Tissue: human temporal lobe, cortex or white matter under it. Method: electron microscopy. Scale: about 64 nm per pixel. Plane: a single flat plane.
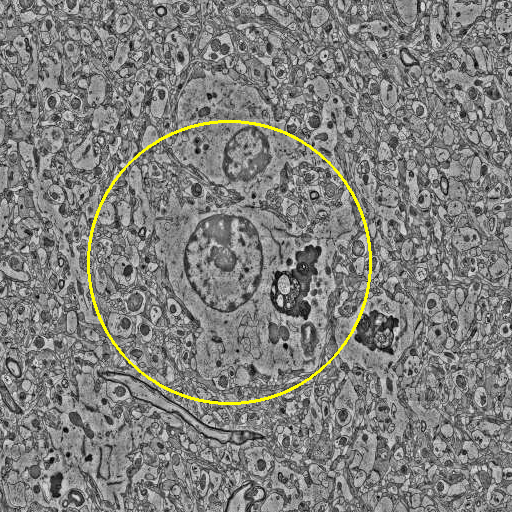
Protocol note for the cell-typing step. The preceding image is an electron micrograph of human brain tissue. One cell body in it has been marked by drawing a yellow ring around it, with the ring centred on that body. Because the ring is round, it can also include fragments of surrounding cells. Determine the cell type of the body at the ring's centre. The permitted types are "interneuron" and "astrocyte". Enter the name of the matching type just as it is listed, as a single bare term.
astrocyte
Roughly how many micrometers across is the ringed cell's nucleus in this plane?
The nucleus is approximately 6 micrometers long by 5 micrometers wide in this plane.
